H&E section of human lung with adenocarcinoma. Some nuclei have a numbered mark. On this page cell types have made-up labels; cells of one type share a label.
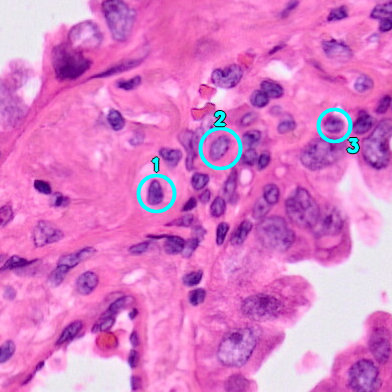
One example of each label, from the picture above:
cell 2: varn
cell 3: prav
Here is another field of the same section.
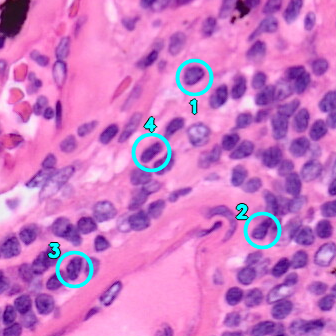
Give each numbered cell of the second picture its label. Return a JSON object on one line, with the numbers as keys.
{"1": "varn", "2": "prav", "3": "prav", "4": "prav"}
